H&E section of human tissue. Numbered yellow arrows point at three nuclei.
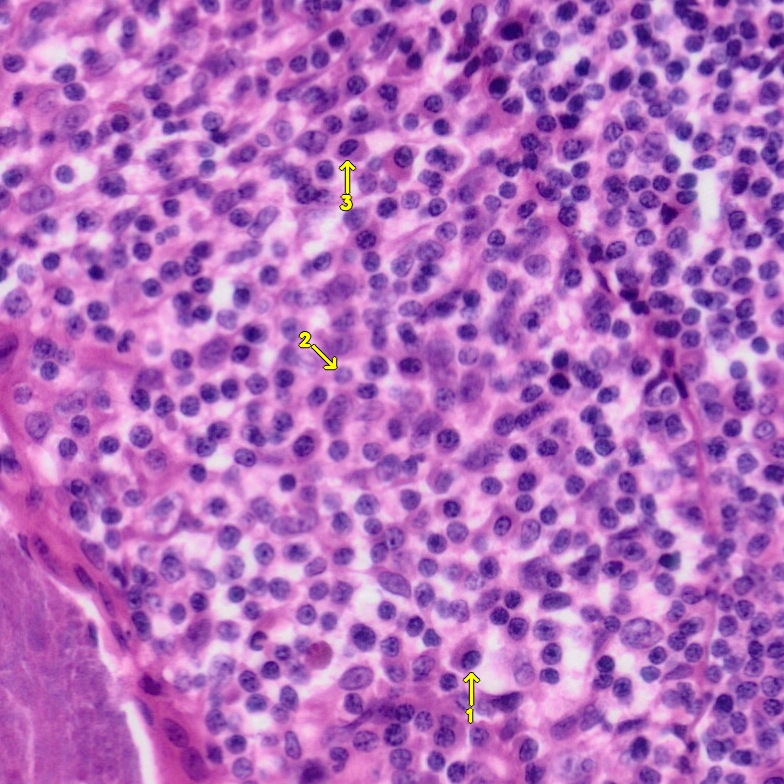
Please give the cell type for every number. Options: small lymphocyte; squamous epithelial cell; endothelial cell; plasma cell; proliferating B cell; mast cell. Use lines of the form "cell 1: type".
cell 1: plasma cell
cell 2: squamous epithelial cell
cell 3: plasma cell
